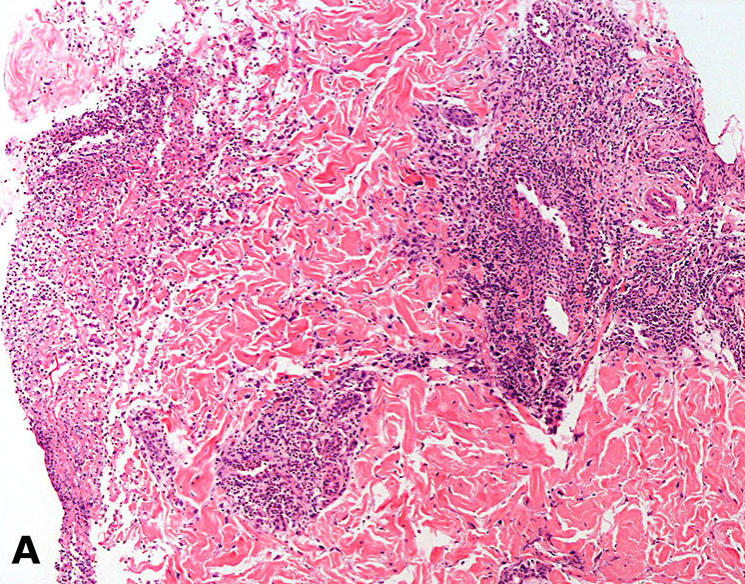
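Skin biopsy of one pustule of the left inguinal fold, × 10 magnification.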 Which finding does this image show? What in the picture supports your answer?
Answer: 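Perivascular and periadnexal intense mixed inflammatory infiltrate. Dense clusters of small dark nuclei are scattered through the pink collagenous dermis. The dense cell clusters surround small vessel lumina and epithelial structures.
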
